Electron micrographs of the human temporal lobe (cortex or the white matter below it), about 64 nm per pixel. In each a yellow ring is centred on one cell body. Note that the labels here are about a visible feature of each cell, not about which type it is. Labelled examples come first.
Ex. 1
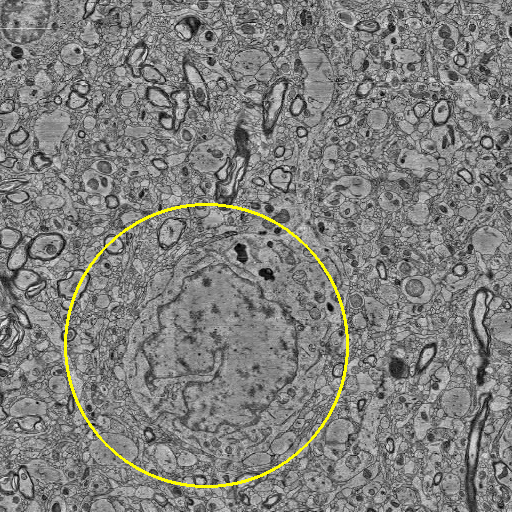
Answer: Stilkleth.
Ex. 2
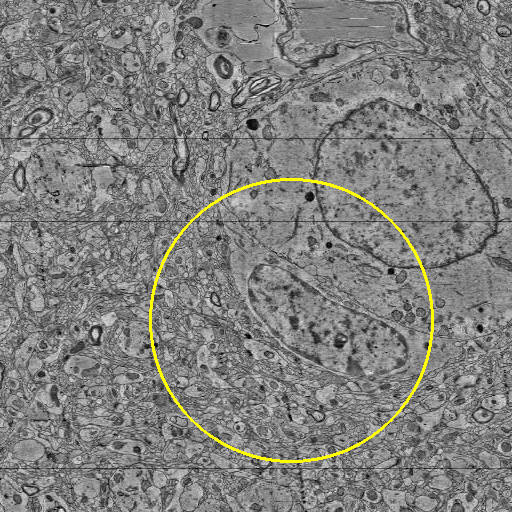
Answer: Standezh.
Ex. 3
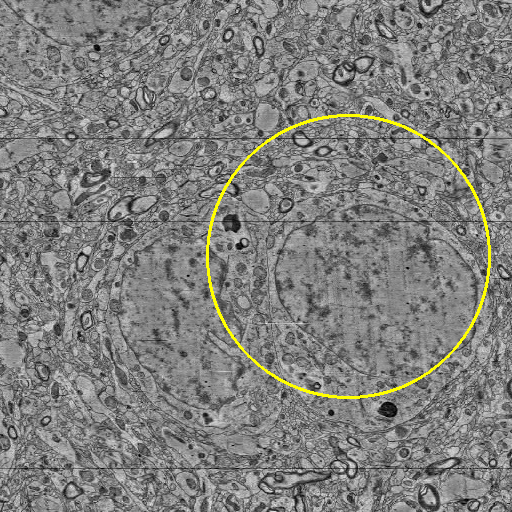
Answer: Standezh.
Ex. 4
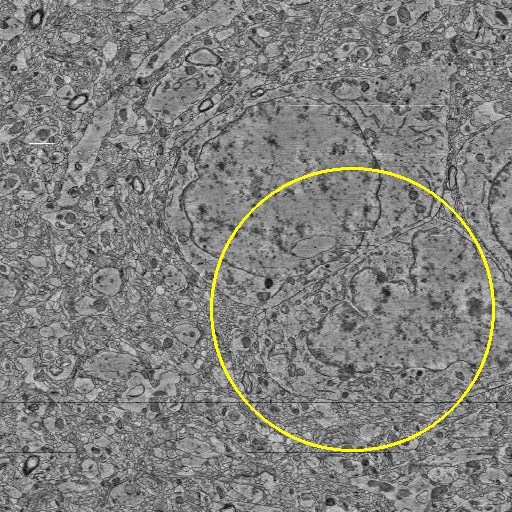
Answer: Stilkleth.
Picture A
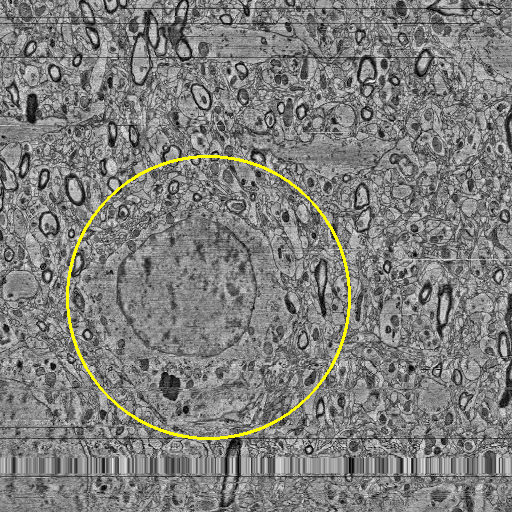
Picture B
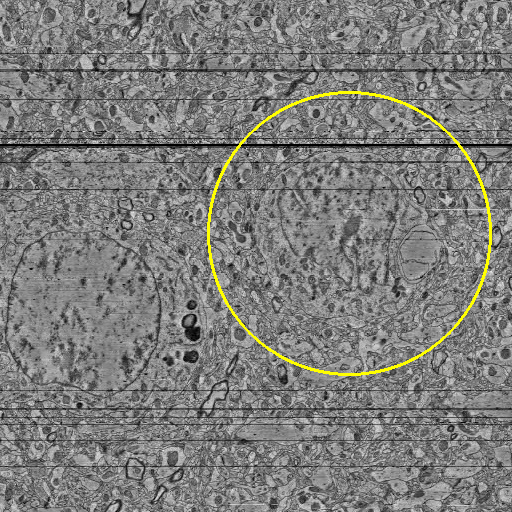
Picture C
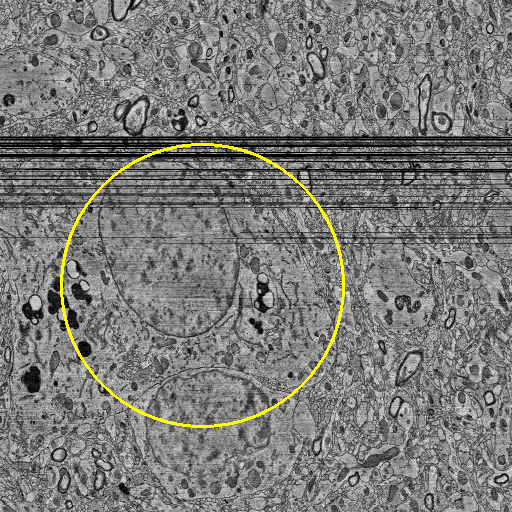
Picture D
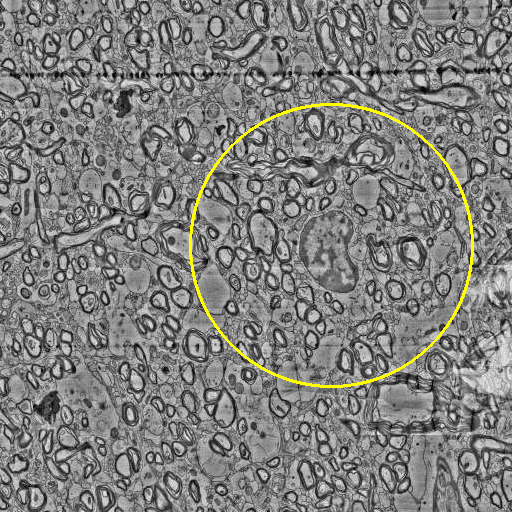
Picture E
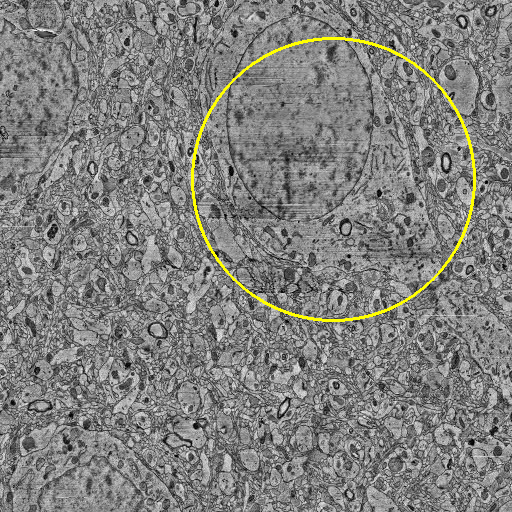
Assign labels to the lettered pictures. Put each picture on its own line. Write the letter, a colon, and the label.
A: Standezh.
B: Stilkleth.
C: Standezh.
D: Stilkleth.
E: Standezh.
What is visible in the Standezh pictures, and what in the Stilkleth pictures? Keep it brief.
Seen in Standezh: smooth nuclear envelopes without deep folds; seen in Stilkleth: deeply folded or indented nuclear envelopes.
